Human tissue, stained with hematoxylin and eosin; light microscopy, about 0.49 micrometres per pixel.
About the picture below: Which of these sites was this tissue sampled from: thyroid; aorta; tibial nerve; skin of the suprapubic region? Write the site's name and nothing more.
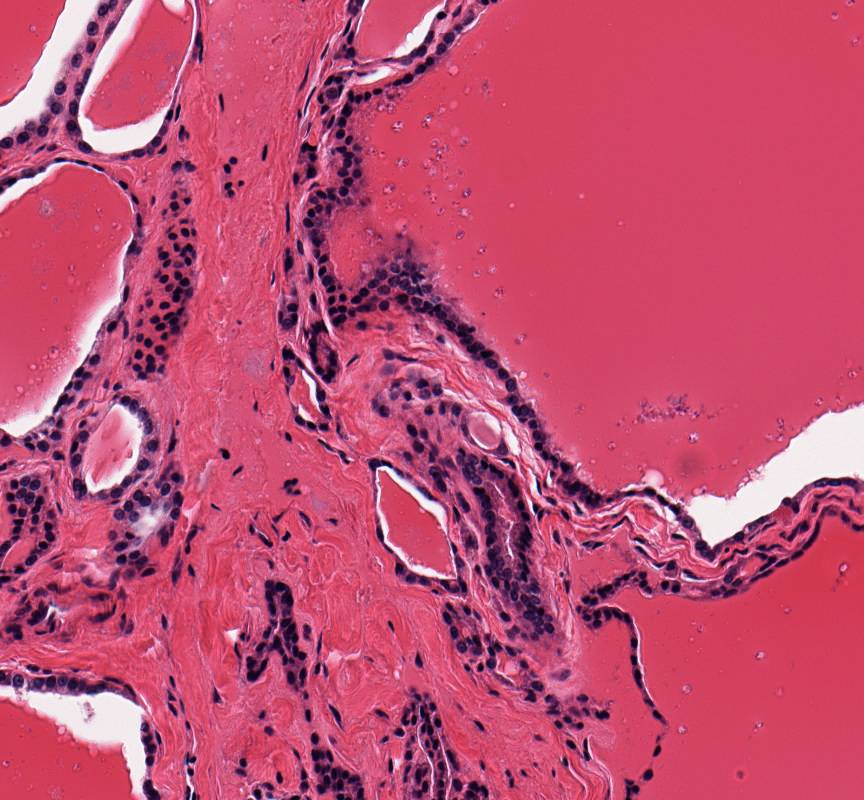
thyroid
